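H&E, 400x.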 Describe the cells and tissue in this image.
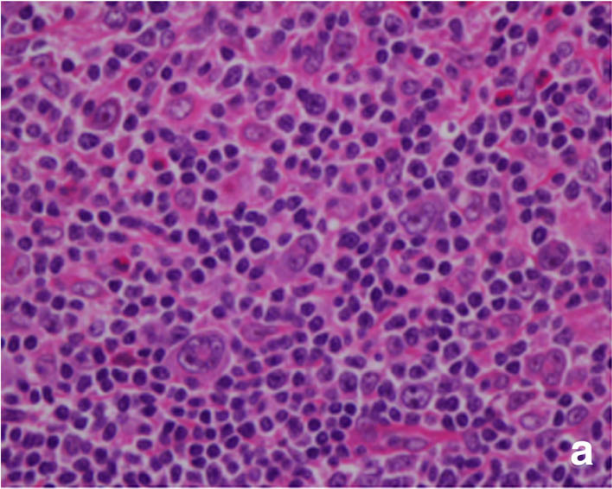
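Among densely packed small lymphocytes with round dark nuclei lie scattered large cells with abundant pale pink cytoplasm, big vesicular nuclei and prominent nucleoli, one of them carrying several nuclei; a few cells with pink granular cytoplasm are mixed in. The large cells are mononuclear Hodgkin cells and multinucleated Reed-Sternberg cells in a lymphocyte-rich background with some eosinophils.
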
